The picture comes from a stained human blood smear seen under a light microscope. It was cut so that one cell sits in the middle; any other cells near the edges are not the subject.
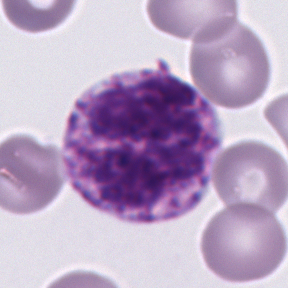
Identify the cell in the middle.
basophil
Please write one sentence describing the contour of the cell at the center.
Not smooth, the outline of the cell is ragged or drawn out into projections.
